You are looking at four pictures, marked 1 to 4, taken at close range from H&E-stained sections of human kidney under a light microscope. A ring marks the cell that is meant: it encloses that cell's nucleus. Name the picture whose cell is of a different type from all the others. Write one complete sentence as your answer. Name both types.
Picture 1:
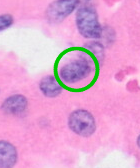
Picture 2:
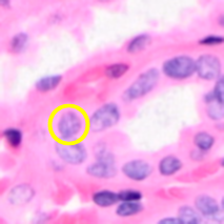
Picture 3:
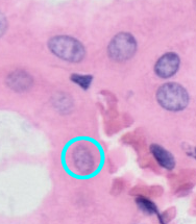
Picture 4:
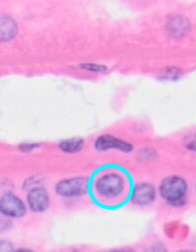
Picture 3 differs, because its cell is a proximal tubule cell and the rest are collecting duct cells.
